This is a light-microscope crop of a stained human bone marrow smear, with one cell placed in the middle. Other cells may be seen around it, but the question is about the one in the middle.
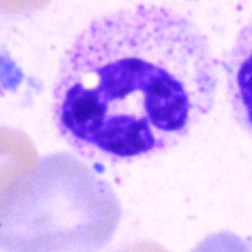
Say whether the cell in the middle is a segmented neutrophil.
yes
